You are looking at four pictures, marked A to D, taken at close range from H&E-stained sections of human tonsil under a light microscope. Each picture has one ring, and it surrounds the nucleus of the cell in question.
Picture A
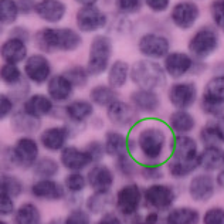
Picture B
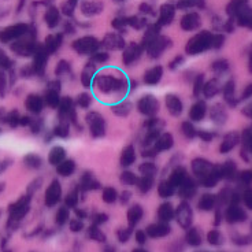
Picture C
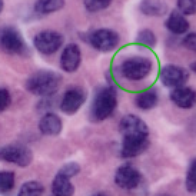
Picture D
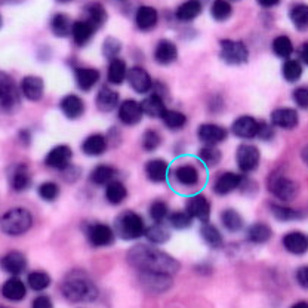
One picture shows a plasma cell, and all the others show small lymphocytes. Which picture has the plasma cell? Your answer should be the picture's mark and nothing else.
C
